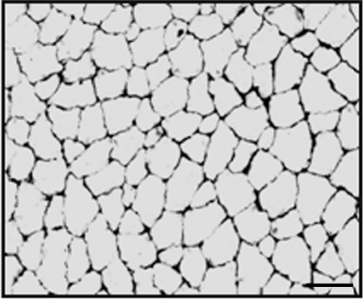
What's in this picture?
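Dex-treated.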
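This is a transverse section of skeletal muscle showing myofibers as many small, pale grey polygonal profiles packed edge to edge. Each fiber is bounded by a thin dark outline, and the outlines form a regular network across the field. More fibers fit into the same field than in a section made of larger fibers. The interiors of the fibers are pale and featureless. A short scale bar lies in the lower right corner.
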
